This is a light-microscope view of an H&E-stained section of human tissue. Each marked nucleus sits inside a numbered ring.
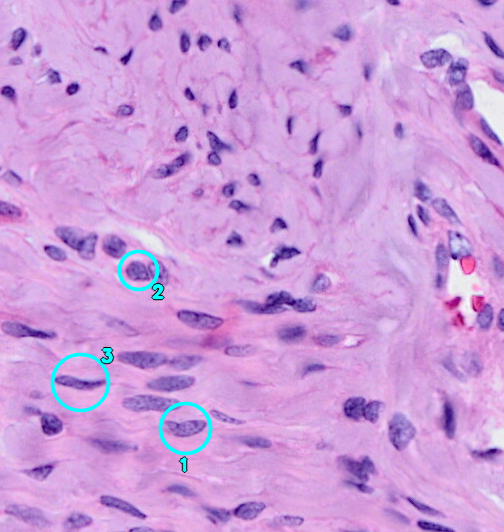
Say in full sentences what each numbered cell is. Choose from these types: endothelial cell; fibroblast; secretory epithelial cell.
Cells 1 and 3 are fibroblasts. Cell 2 is an endothelial cell.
